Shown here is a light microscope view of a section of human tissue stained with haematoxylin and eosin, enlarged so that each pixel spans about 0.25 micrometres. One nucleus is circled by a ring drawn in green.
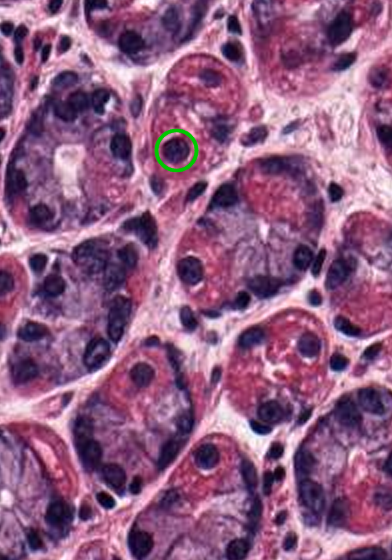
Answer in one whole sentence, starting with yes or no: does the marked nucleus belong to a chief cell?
No, not in a chief cell but in a parietal cell lies the marked nucleus.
